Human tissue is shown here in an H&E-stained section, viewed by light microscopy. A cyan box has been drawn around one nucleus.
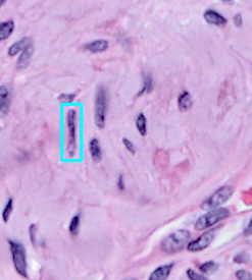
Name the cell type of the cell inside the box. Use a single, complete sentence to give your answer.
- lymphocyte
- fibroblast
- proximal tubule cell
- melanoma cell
To be brief about it, the cell inside the box is a fibroblast.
